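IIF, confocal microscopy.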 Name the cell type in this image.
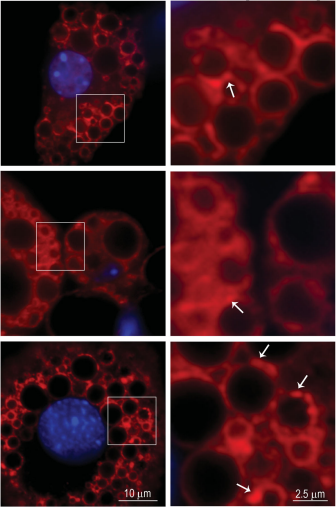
adipocytes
